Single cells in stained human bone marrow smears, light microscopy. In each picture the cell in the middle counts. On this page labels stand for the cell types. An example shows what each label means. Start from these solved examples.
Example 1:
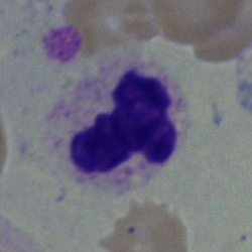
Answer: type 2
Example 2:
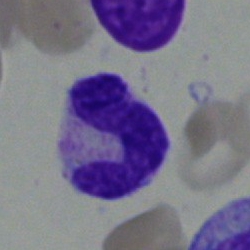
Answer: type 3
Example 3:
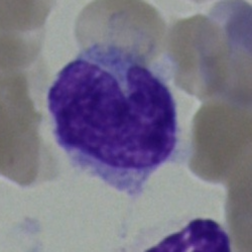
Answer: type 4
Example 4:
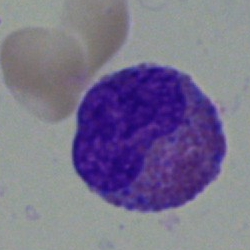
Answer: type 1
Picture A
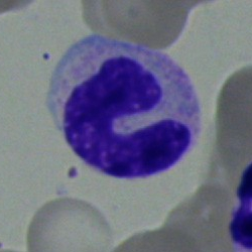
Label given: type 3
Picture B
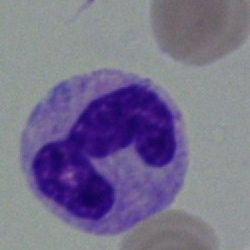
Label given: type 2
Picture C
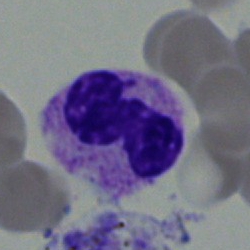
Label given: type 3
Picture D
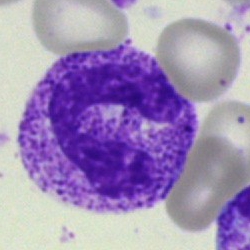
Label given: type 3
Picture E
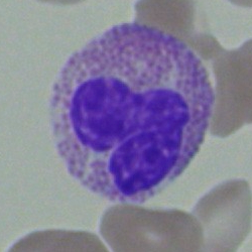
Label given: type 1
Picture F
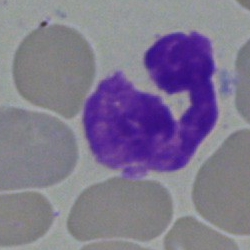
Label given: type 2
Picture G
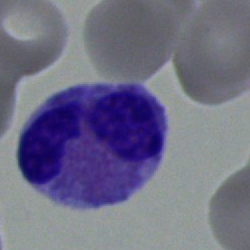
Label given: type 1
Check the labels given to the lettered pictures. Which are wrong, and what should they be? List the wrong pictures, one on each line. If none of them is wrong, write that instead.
Every label is right.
